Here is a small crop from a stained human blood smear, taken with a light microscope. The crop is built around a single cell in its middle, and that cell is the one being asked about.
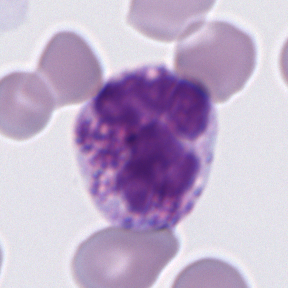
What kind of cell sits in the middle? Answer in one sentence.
Whatever else lies nearby, the middle cell is a basophil.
